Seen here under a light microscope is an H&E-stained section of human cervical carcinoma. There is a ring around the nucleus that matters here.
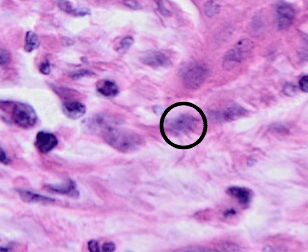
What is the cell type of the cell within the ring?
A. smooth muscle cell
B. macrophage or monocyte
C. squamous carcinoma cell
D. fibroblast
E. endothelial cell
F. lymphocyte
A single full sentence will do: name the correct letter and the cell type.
The correct option is D, as the cell within the ring is a fibroblast.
